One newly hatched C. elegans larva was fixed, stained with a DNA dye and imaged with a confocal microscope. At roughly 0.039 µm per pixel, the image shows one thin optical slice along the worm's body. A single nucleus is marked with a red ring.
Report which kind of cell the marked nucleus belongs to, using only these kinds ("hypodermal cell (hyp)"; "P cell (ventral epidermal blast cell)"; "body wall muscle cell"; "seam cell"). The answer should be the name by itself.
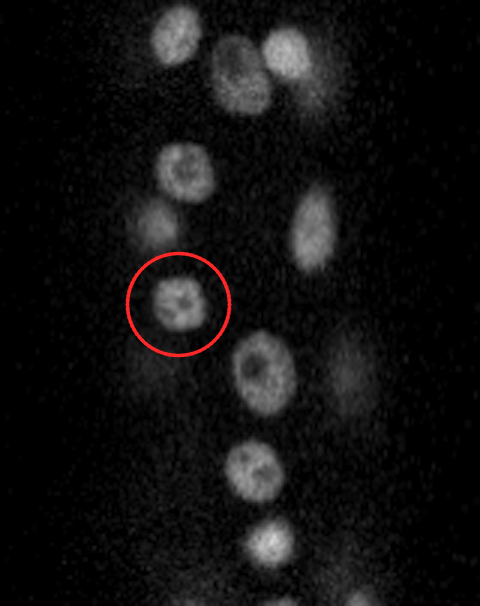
P cell (ventral epidermal blast cell)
